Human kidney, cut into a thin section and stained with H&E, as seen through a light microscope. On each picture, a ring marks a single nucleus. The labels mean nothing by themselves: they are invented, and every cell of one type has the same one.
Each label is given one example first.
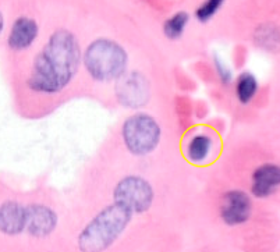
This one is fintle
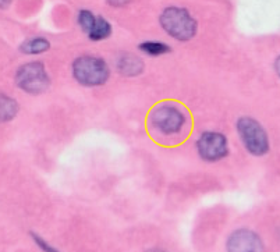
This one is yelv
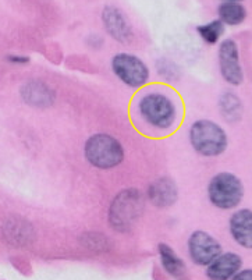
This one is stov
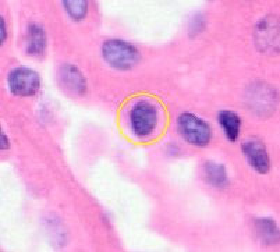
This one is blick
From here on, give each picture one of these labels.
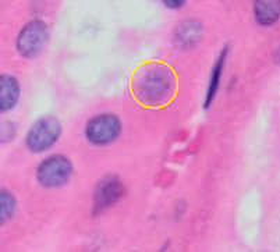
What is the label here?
blick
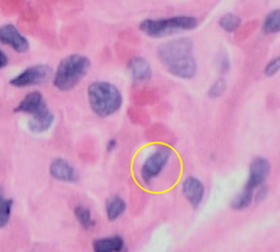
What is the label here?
fintle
